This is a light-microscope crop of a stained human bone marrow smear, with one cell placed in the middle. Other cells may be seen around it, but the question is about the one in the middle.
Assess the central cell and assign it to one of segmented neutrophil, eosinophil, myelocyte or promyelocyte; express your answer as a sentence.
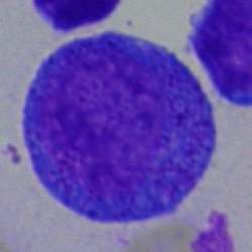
In the centre of this crop there is a promyelocyte.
